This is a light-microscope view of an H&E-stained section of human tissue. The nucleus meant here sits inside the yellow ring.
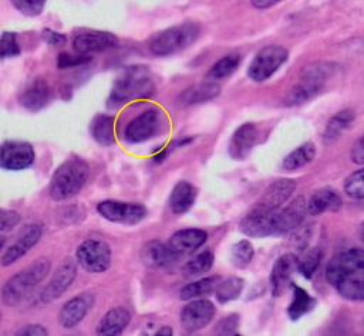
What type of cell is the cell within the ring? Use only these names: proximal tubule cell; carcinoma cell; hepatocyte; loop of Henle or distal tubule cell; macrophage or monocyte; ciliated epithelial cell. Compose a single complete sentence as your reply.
In terms of identity, the cell within the ring is a carcinoma cell.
